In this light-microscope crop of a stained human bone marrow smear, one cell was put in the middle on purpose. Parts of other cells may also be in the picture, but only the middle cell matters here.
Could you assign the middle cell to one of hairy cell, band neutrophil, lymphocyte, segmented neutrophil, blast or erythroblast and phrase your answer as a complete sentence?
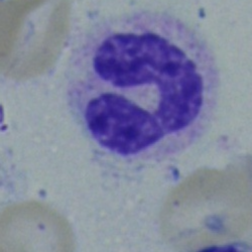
Standing at the centre of this crop is a band neutrophil.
